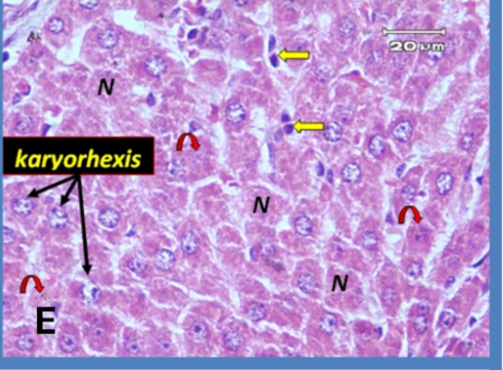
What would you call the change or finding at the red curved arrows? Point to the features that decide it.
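The arrows point to hepatocyte nuclei that look pale and faded compared with neighbouring nuclei. So: karyolysis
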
